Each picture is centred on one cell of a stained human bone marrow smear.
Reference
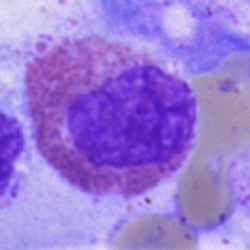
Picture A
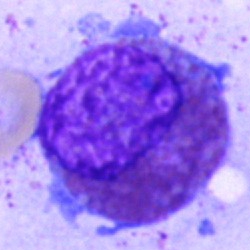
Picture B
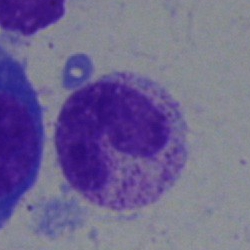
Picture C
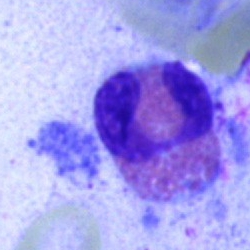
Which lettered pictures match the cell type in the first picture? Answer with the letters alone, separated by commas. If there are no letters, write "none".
A, C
